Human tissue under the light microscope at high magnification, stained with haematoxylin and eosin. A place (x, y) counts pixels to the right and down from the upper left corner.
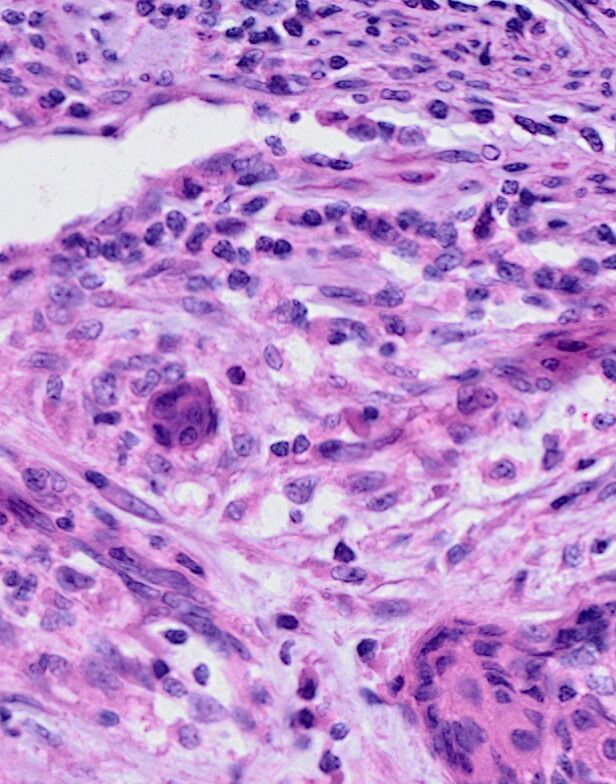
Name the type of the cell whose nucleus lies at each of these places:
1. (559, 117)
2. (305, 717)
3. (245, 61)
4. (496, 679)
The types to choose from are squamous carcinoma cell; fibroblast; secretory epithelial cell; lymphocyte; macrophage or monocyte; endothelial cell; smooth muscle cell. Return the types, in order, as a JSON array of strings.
["lymphocyte", "lymphocyte", "lymphocyte", "squamous carcinoma cell"]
